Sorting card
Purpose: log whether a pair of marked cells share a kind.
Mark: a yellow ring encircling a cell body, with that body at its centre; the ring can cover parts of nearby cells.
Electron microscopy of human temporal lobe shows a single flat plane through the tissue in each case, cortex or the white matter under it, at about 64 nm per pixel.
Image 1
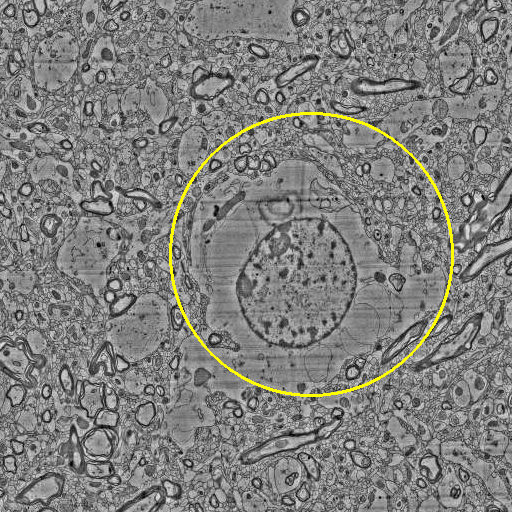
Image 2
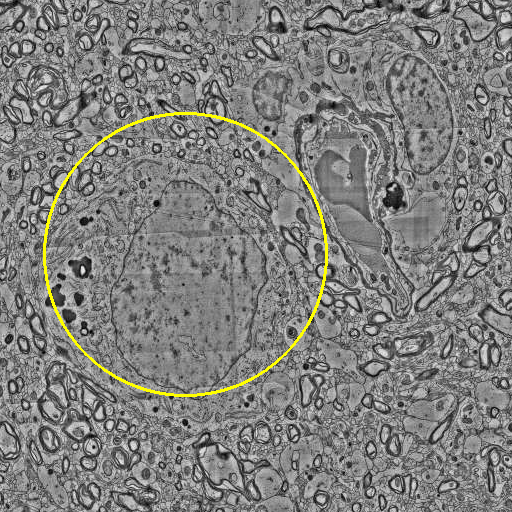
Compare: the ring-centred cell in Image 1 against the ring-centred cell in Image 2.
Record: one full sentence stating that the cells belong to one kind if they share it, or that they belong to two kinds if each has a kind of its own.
Across Images 1 and 2, the two ring-centred cells belong to two kinds.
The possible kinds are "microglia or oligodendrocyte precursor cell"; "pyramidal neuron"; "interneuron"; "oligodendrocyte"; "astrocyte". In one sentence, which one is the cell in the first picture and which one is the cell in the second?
The cell ringed in the second picture is a pyramidal neuron, whereas the one ringed in the first is an astrocyte.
